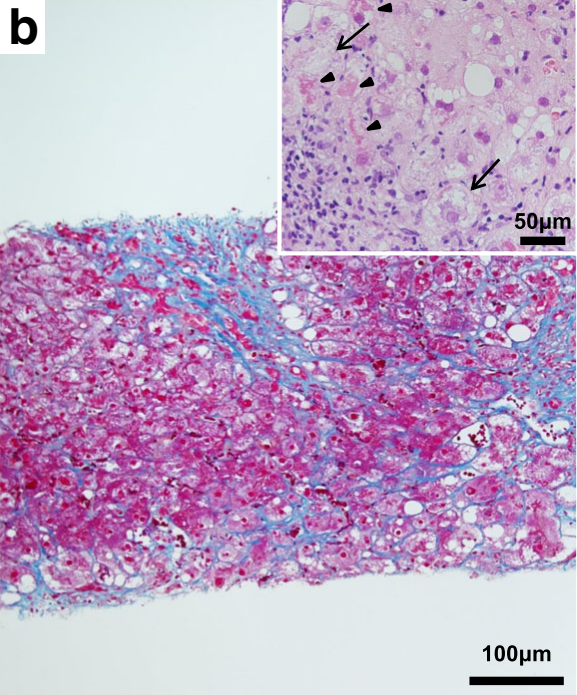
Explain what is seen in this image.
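A core of liver tissue shows red-stained liver cells laced by blue fibres that surround single cells and join into bands crossing the core, with scattered round empty vacuoles of varying size between the cells. In the inset, several liver cells are swollen with pale, cleared cytoplasm, some hold irregular clumps of deep pink material, and a crowd of small dark-nucleated cells gathers at the left edge. This is fibrosis with pericellular collagen forming bridges, hepatocellular ballooning with Mallory bodies, fatty change and mild inflammatory infiltration.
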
